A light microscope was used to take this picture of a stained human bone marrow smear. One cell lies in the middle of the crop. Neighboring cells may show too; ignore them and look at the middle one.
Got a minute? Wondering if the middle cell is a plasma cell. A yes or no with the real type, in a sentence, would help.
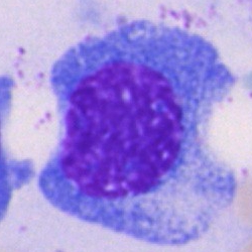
Yes, the cell in the middle has the identity of a plasma cell.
